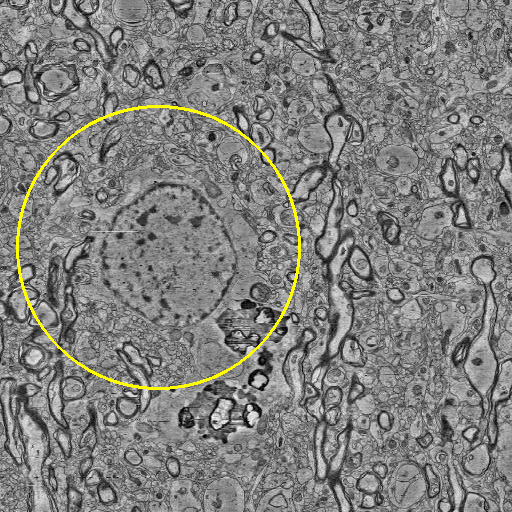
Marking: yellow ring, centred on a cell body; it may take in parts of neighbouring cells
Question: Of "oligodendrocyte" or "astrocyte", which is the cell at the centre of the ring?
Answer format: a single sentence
The ring surrounds the body of an astrocyte.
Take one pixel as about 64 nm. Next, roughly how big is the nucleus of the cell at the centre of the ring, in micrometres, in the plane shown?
About 9 micrometers across, in this plane.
